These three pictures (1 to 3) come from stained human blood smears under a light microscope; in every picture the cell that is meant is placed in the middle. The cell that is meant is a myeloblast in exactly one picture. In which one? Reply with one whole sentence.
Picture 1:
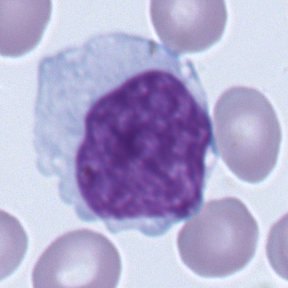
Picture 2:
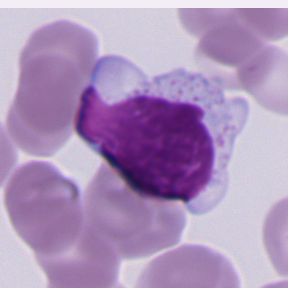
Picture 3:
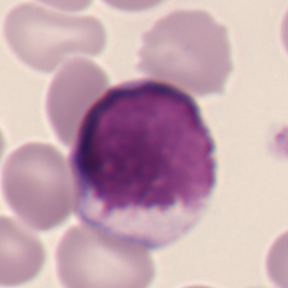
It is picture 1 that shows the myeloblast.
